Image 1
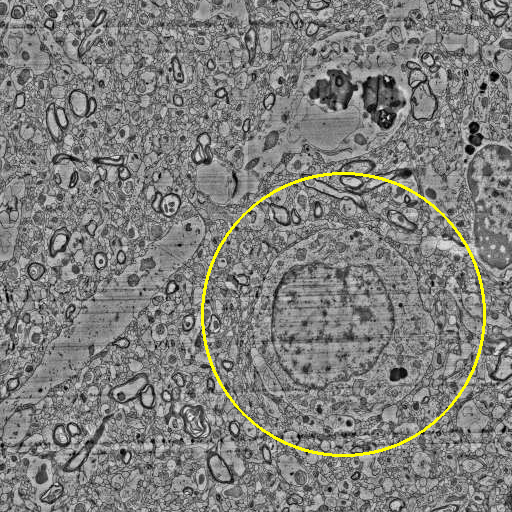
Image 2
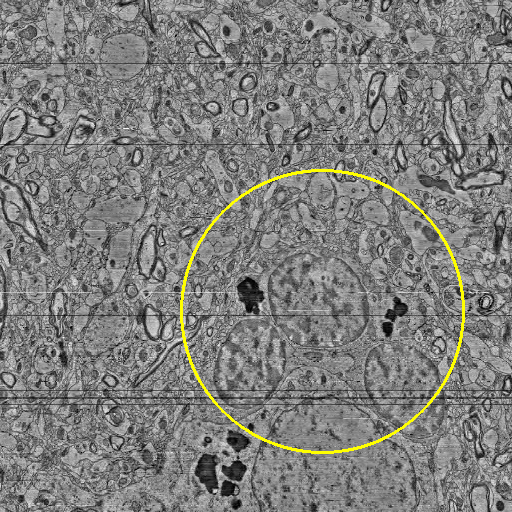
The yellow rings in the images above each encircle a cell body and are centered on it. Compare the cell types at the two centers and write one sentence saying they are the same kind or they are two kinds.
Taken together, the two cells at the ring centers are two kinds.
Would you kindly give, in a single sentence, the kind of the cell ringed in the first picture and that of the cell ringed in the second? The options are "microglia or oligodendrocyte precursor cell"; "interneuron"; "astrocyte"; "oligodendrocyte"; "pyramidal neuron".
The second cell is an oligodendrocyte, and the first cell is an interneuron.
